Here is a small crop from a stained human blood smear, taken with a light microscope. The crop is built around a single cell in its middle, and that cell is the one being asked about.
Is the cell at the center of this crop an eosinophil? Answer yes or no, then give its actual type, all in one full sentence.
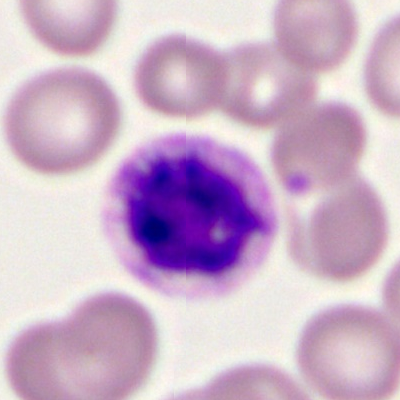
No, the cell in the middle of the crop counts as a basophil and not as an eosinophil.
